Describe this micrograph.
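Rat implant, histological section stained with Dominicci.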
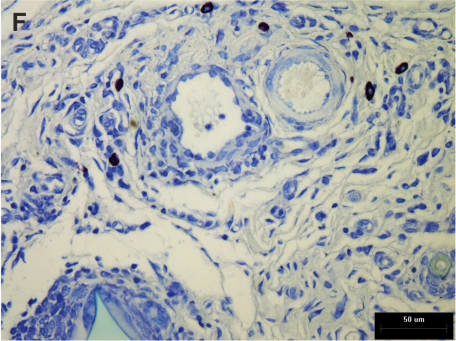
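Most nuclei are elongated or oval and sit among pale fibrous strands. Small vessel-like structures with open round lumens are seen near the centre, ringed by flattened cells. A few small oval cells are stained dark purple-black and lie singly in the tissue between these structures.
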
